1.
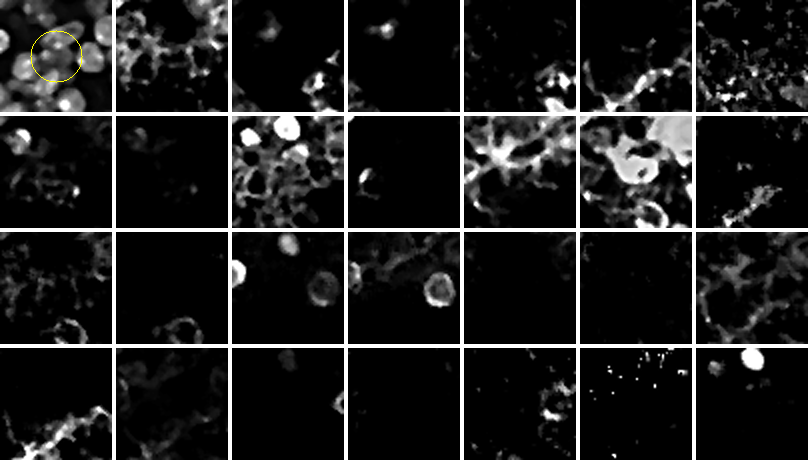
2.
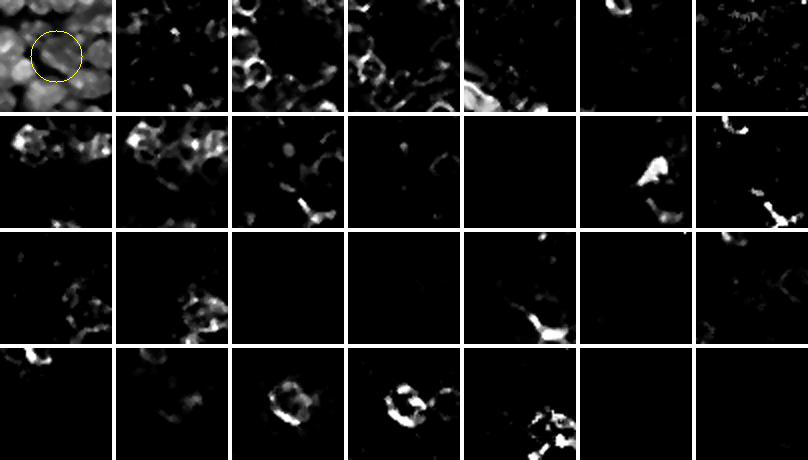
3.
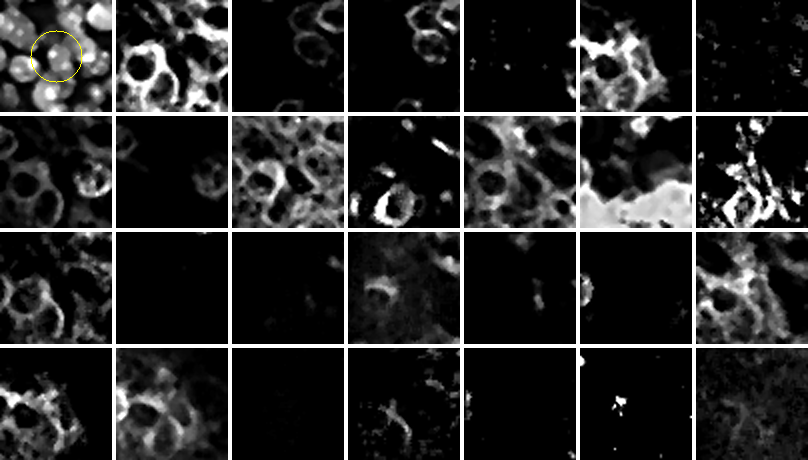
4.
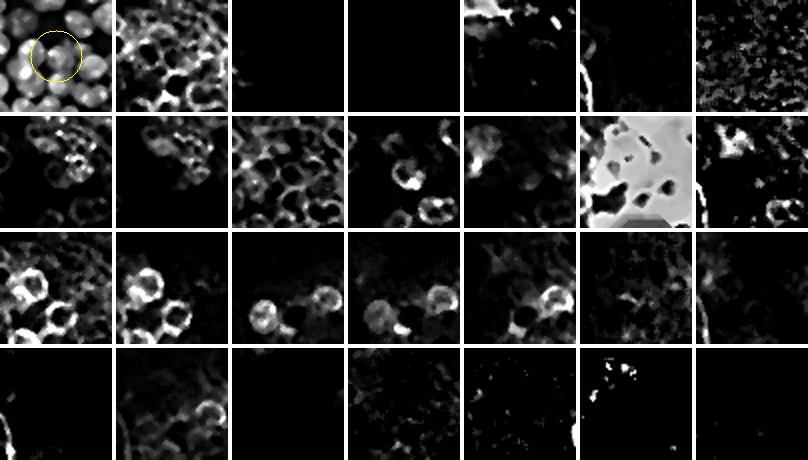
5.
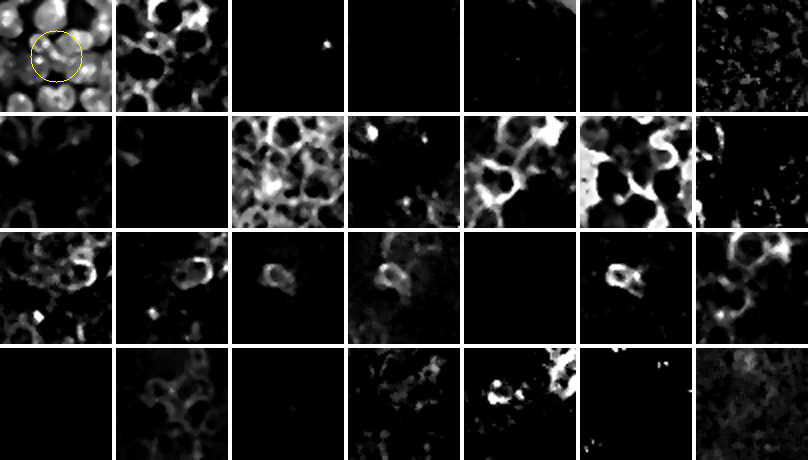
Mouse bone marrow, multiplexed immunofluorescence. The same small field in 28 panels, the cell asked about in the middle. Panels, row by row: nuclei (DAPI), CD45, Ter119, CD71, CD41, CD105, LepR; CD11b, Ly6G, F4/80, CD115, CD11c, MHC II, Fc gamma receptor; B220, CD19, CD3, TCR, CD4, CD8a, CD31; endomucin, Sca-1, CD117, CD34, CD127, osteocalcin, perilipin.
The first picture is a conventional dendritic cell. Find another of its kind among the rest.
Picture 5.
